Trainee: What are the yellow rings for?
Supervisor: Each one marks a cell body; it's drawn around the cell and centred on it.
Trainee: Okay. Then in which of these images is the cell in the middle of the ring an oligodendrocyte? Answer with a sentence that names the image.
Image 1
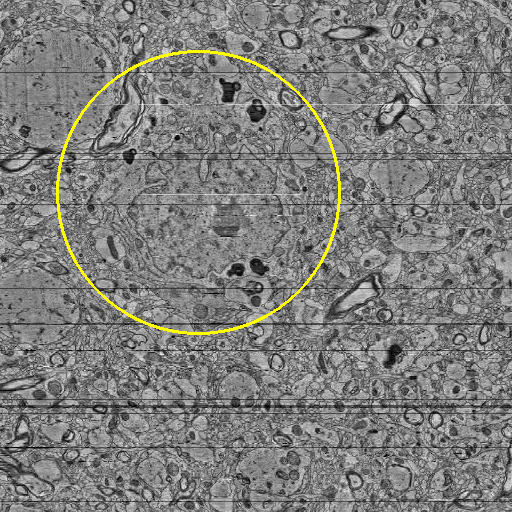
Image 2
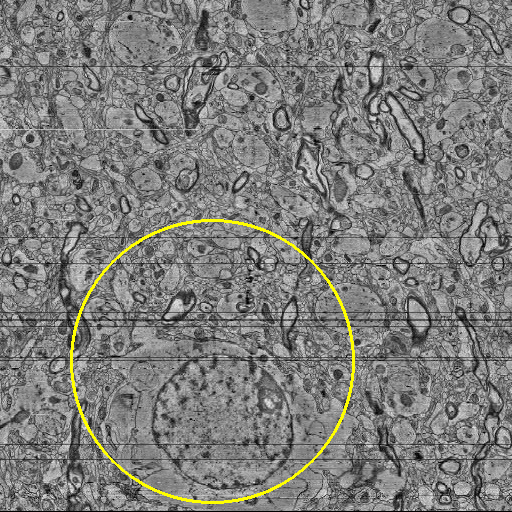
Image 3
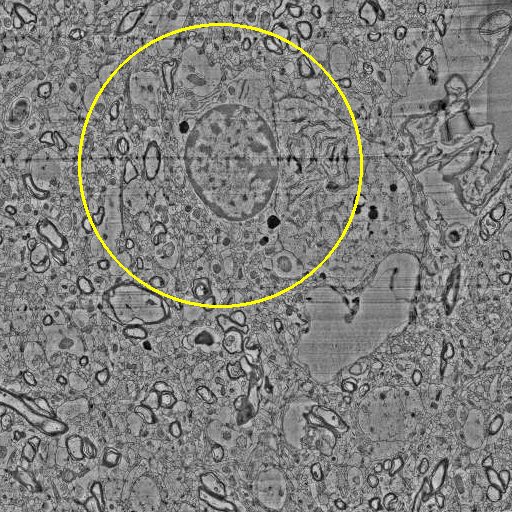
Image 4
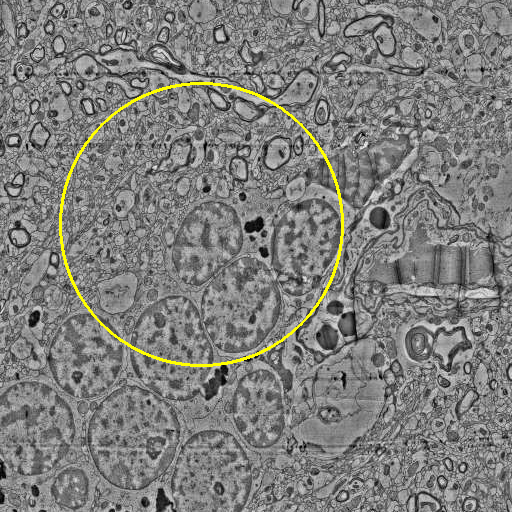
Image 4 has it in the middle of the ring.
